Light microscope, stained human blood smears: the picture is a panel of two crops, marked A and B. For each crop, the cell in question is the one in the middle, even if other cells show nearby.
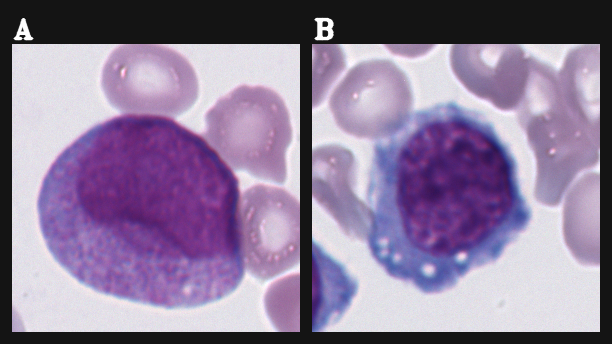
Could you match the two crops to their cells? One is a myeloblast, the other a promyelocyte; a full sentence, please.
Crop A depicts a promyelocyte, and a myeloblast is depicted in crop B.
